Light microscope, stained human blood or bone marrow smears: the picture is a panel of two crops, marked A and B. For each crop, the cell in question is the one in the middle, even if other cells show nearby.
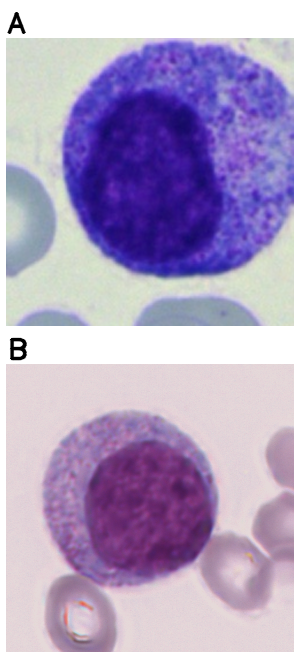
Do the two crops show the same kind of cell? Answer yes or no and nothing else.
yes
